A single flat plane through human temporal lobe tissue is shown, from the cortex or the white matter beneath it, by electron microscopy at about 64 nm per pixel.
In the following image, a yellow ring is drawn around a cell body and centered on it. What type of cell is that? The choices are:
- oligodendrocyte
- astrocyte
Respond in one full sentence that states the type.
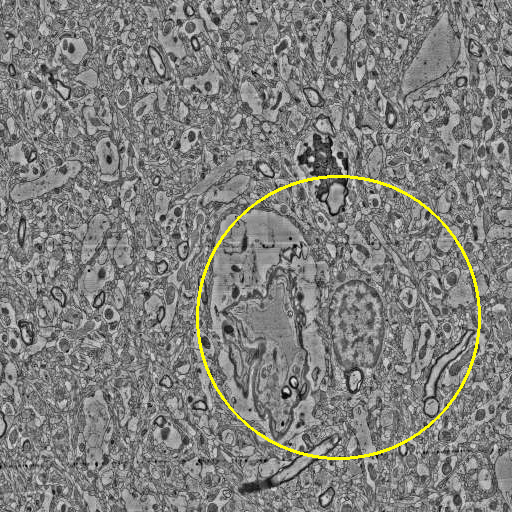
The cell at the center of the yellow ring in the image is an oligodendrocyte.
